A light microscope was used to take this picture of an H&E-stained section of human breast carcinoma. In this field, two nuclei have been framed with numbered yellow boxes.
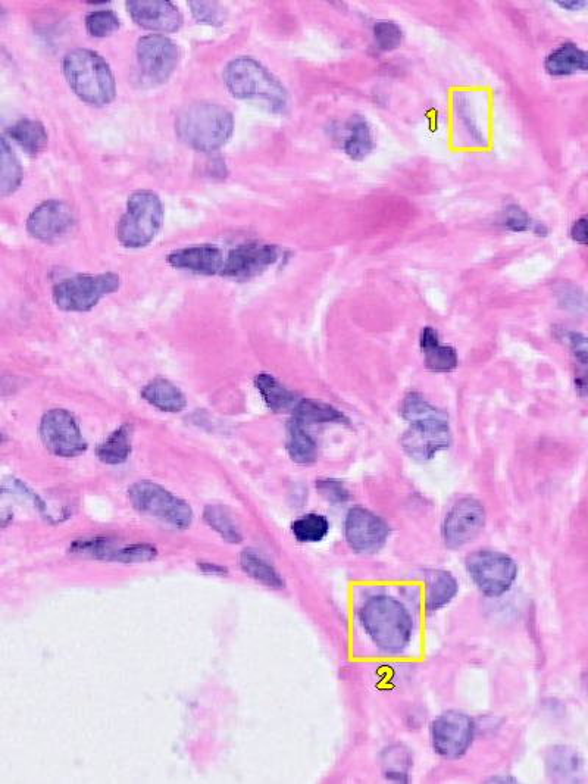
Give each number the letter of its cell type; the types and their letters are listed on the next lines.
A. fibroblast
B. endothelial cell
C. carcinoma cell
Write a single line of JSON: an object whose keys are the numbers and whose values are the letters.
{"1": "A", "2": "C"}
